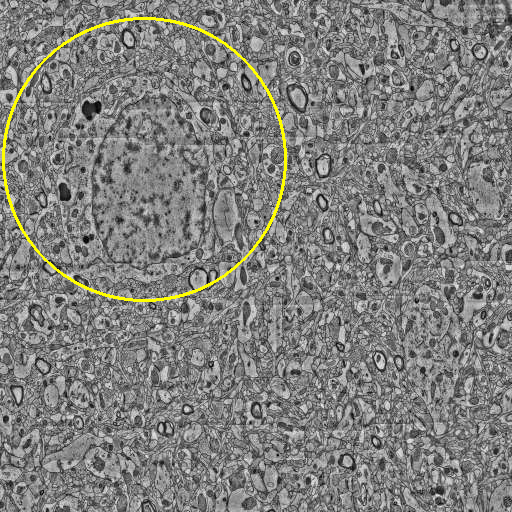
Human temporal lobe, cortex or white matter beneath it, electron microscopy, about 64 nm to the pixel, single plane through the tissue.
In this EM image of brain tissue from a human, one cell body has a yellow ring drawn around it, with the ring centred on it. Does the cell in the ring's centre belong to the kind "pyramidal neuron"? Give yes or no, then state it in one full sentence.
No, in the picture, the cell centred in the yellow ring belongs to another kind.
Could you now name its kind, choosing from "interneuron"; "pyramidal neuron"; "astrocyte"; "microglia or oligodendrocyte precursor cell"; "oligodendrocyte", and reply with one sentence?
As it turns out, the cell at the ring centre is an interneuron.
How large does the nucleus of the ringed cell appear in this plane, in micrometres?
The ringed cell's nucleus measures approximately 11 by 8 micrometres in this plane.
